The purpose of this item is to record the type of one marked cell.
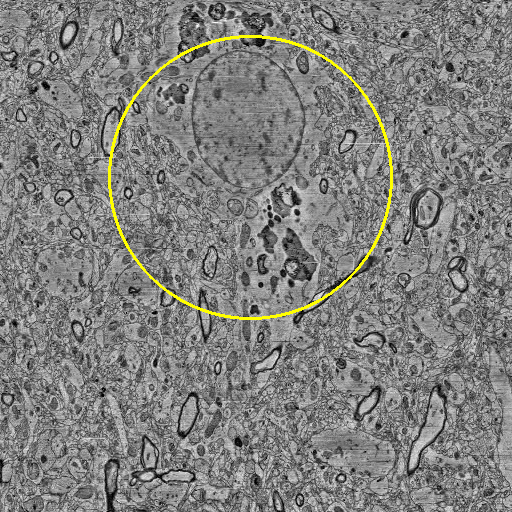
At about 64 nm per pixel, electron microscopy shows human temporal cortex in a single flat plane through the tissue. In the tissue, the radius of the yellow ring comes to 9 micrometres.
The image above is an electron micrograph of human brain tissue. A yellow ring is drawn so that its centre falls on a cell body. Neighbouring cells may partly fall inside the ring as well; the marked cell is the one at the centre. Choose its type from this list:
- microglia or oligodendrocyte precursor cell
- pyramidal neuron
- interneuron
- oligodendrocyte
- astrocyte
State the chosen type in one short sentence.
What the ring marks here is an astrocyte.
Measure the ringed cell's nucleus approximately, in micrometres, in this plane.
In this plane, the nucleus is roughly 9 by 7 micrometres.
